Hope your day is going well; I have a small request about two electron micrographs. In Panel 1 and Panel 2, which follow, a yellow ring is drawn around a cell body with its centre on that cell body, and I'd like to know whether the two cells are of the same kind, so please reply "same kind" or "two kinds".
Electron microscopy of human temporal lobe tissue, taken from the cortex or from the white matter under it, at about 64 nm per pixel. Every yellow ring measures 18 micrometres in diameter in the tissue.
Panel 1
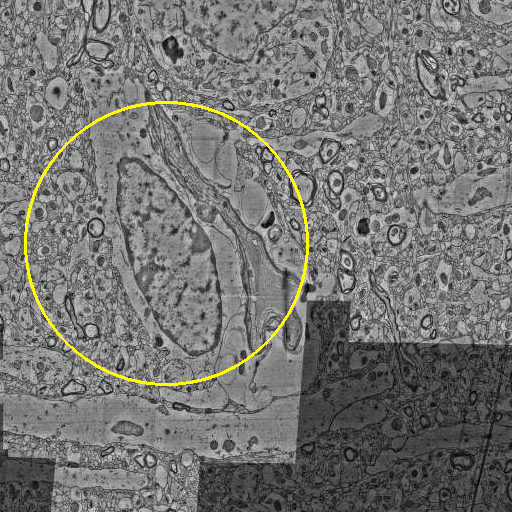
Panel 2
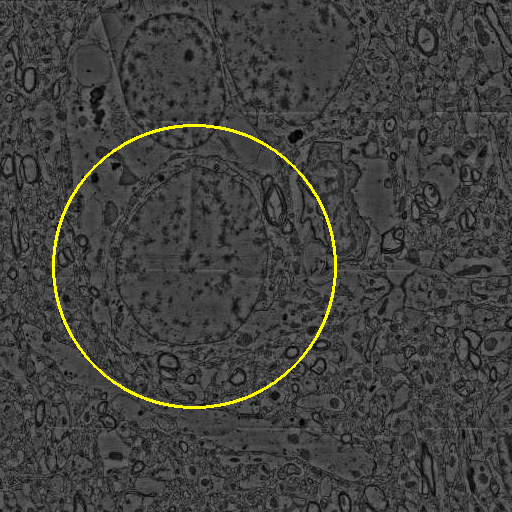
two kinds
